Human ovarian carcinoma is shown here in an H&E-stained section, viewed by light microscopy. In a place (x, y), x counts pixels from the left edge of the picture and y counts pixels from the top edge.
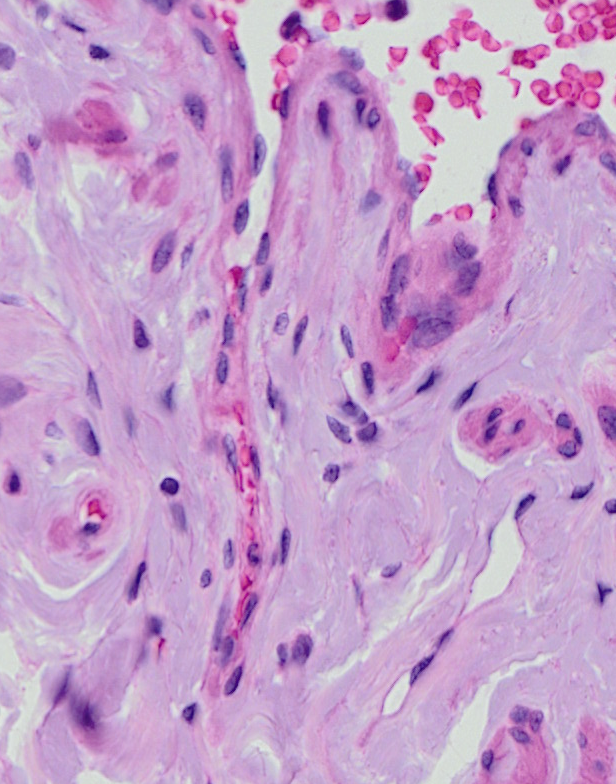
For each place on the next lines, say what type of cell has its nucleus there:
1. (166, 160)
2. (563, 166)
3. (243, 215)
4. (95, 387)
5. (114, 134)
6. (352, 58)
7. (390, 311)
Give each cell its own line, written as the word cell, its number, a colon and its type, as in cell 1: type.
cell 1: smooth muscle cell
cell 2: smooth muscle cell
cell 3: endothelial cell
cell 4: fibroblast
cell 5: smooth muscle cell
cell 6: endothelial cell
cell 7: endothelial cell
